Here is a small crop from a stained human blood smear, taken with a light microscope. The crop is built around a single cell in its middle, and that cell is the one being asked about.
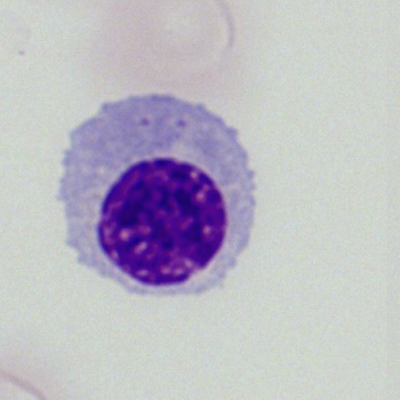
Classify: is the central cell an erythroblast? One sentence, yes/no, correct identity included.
Yes, the cell in the center of the field is an erythroblast.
